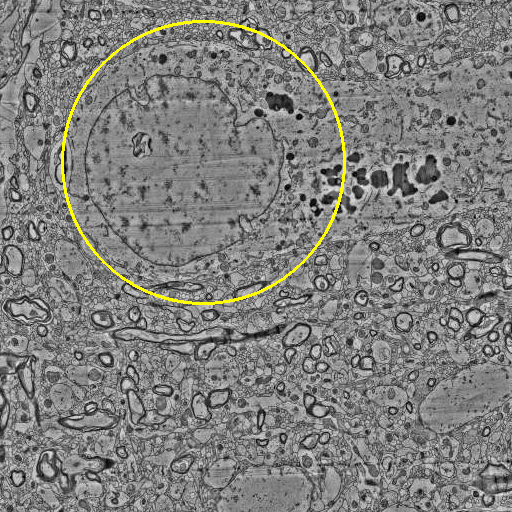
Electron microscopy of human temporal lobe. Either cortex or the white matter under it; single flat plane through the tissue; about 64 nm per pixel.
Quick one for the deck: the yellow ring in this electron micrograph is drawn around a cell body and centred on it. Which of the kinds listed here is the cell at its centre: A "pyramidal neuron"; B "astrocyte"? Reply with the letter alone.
A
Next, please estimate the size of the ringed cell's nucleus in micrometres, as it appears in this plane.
The nucleus comes to roughly 12 micrometres across in this plane.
